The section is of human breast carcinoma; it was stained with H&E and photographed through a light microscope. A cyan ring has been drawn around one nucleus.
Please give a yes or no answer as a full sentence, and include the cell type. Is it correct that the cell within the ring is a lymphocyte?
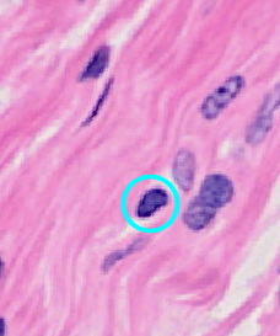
Yes, the identification of the cell within the ring as a lymphocyte stands.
